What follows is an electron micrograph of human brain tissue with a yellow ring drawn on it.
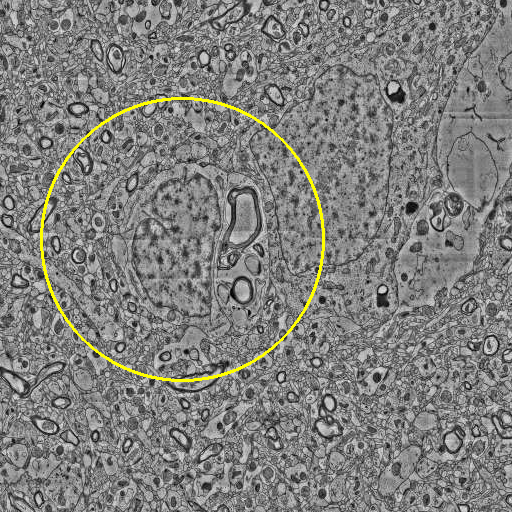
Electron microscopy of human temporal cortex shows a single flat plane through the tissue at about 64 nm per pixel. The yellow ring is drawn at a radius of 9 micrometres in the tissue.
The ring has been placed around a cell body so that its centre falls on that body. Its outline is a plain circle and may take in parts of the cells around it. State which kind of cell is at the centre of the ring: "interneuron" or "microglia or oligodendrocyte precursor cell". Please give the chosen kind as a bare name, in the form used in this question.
interneuron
